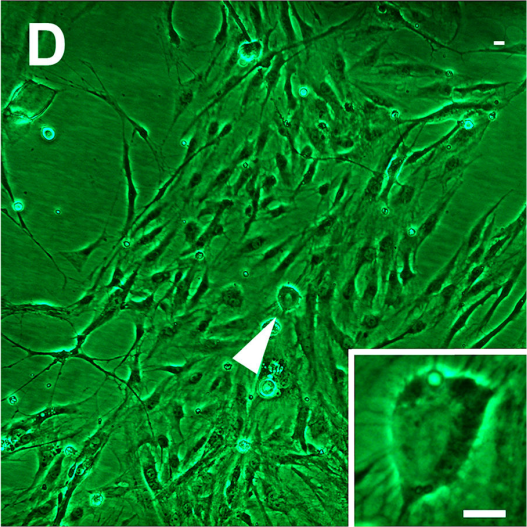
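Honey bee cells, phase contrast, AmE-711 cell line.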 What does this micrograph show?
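The cells are elongated and spindle-shaped or stellate, with long, thin, often branching processes that reach toward neighbours; many run roughly parallel in a diagonal direction. Their nuclei appear as darker oval areas in the flattened cell bodies. Between the cells lie wide open areas of bare substrate.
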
